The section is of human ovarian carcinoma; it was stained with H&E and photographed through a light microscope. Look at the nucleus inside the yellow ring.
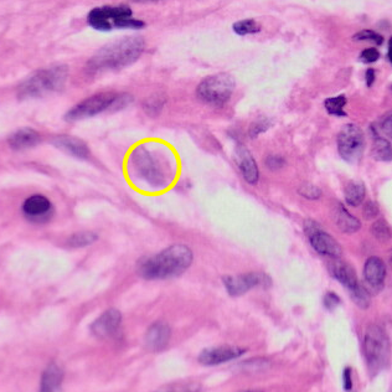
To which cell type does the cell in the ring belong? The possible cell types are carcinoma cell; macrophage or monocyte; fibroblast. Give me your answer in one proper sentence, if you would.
Assigned to a cell type, the cell in the ring is a fibroblast.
